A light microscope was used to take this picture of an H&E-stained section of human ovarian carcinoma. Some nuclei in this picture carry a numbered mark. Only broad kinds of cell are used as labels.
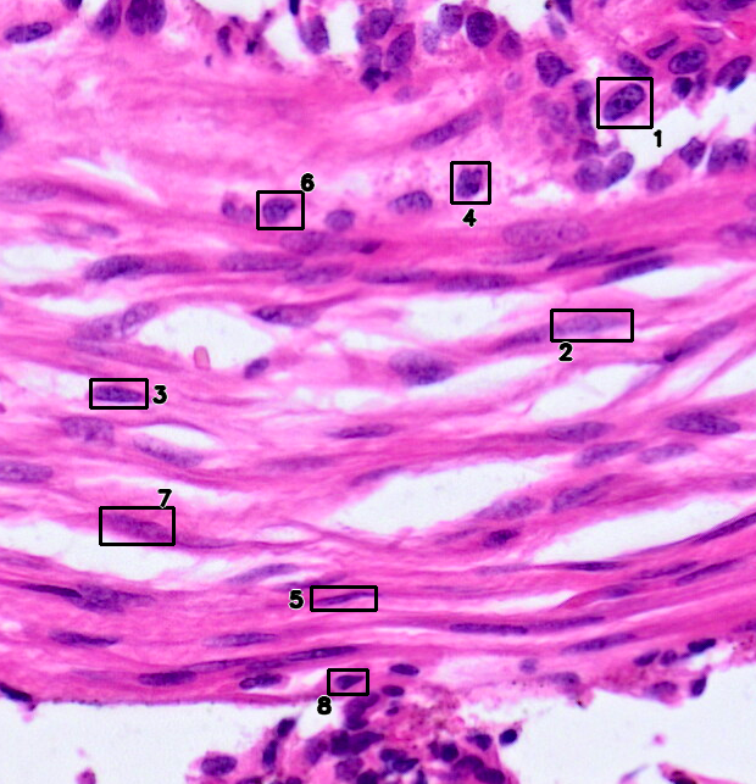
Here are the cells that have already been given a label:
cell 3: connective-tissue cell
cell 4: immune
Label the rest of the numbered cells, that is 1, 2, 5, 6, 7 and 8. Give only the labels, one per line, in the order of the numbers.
immune
connective-tissue cell
connective-tissue cell
immune
connective-tissue cell
immune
